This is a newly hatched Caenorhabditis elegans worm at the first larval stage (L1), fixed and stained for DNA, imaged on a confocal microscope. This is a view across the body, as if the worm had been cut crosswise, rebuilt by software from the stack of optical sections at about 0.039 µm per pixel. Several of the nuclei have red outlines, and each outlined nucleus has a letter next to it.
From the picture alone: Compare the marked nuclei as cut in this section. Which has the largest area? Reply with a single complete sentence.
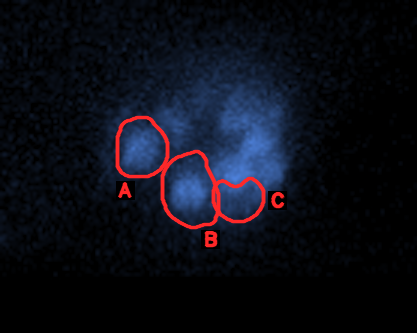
The largest cut area is that of B.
